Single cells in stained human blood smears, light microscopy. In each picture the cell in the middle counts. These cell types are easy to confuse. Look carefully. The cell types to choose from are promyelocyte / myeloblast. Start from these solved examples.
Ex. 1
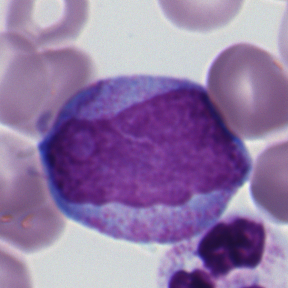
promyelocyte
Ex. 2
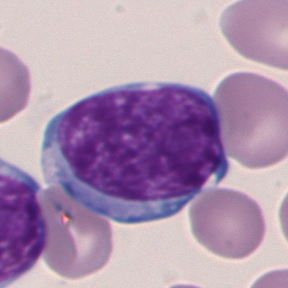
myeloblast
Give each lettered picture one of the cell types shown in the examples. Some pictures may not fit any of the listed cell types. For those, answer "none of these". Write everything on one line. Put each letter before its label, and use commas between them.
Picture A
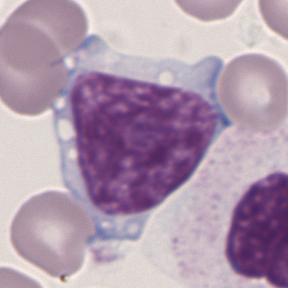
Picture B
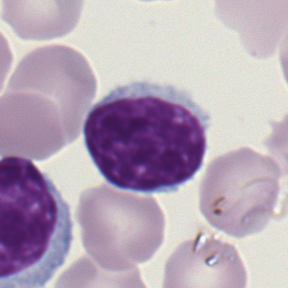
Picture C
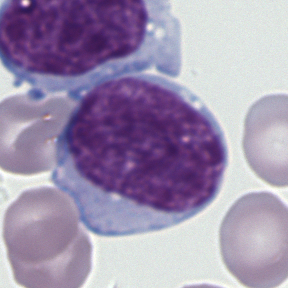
A myeloblast, B none of these, C myeloblast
